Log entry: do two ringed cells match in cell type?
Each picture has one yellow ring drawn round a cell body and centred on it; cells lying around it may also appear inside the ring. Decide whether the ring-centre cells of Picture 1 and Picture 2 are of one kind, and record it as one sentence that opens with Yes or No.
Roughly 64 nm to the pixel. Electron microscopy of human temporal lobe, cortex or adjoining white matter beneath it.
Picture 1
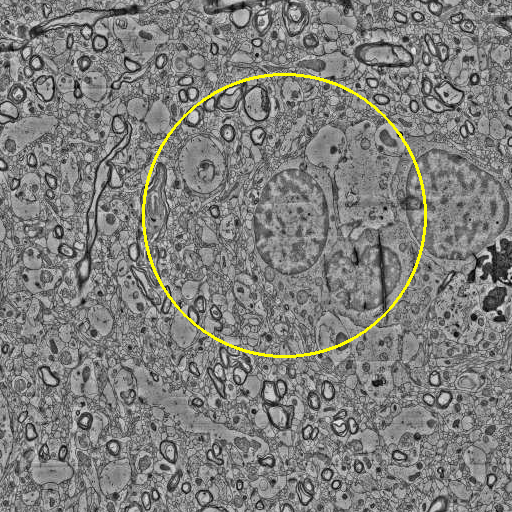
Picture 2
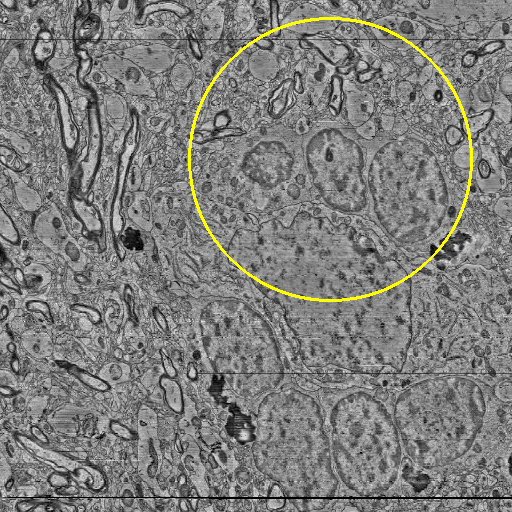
Yes, the cells at the ring centres of the two pictures belong to one kind.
